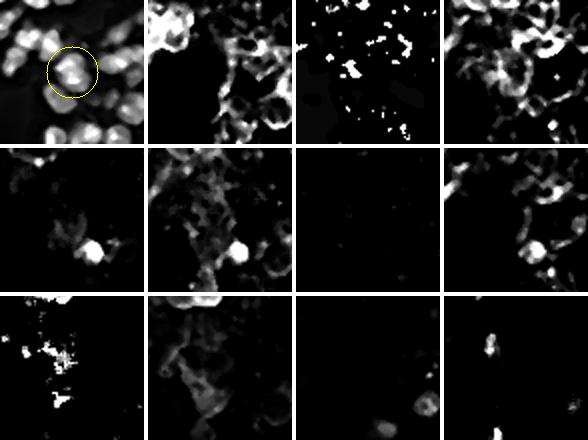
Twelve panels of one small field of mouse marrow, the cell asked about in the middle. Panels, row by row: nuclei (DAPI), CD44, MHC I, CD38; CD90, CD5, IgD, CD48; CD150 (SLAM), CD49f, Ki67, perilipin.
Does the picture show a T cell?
No, it shows a capillary endothelial cell.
